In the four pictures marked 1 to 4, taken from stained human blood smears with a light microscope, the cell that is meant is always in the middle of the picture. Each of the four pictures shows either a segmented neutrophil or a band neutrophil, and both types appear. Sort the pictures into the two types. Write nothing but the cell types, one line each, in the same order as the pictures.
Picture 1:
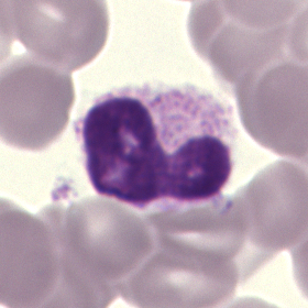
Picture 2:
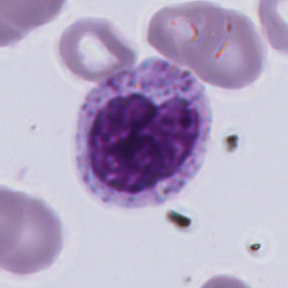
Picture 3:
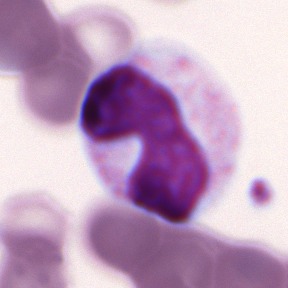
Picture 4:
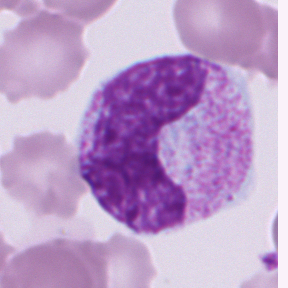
segmented neutrophil
band neutrophil
band neutrophil
band neutrophil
